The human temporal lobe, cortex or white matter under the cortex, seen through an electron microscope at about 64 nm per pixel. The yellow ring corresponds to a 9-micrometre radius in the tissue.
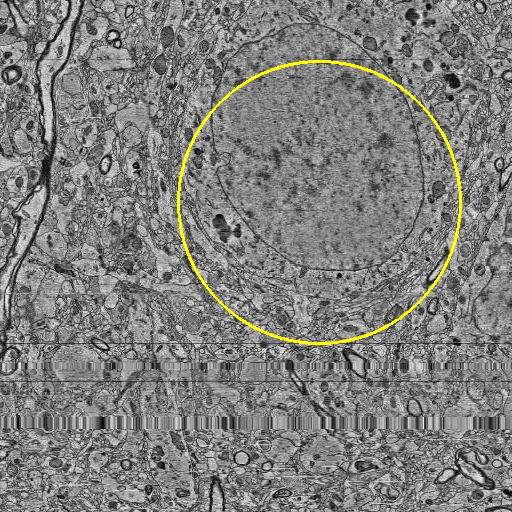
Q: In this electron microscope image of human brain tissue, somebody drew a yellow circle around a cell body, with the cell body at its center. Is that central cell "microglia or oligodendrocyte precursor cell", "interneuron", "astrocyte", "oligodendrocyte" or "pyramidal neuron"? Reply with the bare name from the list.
pyramidal neuron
